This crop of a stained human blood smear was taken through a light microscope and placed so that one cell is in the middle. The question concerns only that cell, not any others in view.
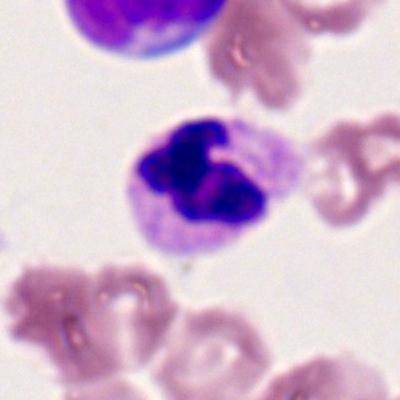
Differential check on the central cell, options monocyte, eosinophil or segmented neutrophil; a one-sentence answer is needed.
Occupying the centre of the crop is a segmented neutrophil.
